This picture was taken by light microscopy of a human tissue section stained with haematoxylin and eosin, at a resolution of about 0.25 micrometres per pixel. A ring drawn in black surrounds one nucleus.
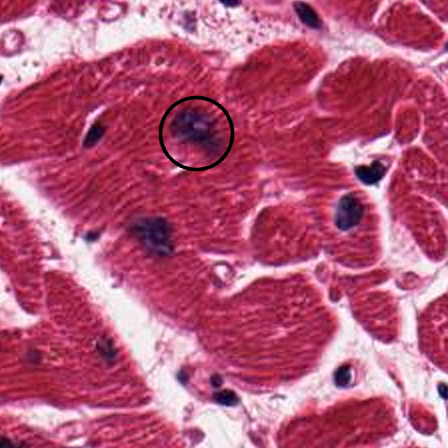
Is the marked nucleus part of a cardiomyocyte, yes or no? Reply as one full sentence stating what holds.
Yes, the marked nucleus is in a cardiomyocyte.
